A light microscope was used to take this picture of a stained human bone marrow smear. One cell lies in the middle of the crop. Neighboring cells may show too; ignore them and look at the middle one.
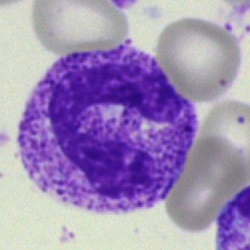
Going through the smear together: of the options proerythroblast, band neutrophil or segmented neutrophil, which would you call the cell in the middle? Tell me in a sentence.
At the middle of the frame sits a band neutrophil.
